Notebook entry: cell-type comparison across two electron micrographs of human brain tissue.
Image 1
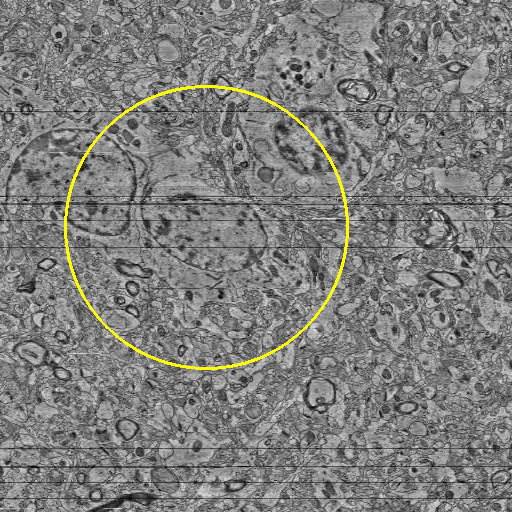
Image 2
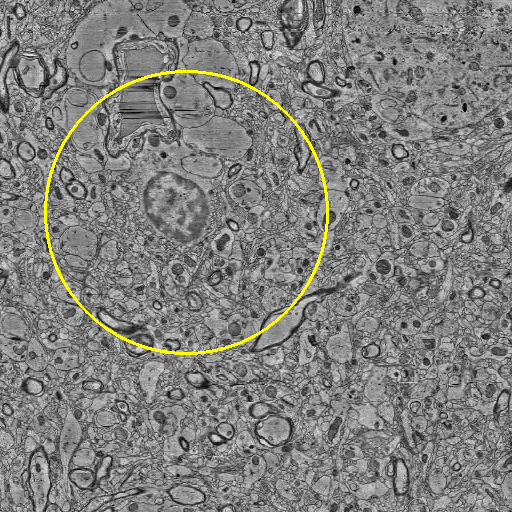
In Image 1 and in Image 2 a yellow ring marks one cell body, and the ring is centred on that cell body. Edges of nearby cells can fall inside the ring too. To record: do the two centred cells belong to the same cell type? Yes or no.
no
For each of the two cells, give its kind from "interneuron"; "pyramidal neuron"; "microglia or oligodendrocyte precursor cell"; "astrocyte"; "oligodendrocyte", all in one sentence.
The first picture has an astrocyte in its ring, the second has an oligodendrocyte.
